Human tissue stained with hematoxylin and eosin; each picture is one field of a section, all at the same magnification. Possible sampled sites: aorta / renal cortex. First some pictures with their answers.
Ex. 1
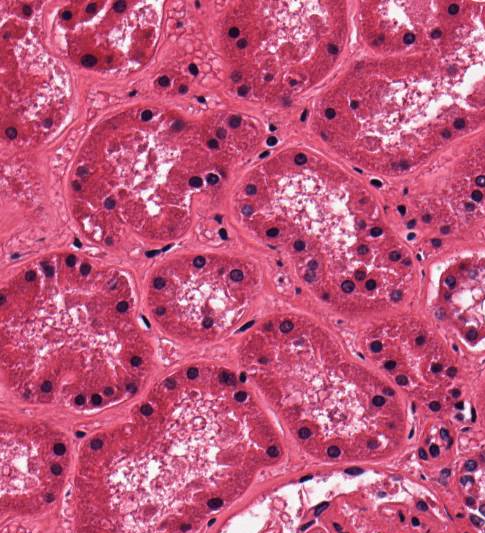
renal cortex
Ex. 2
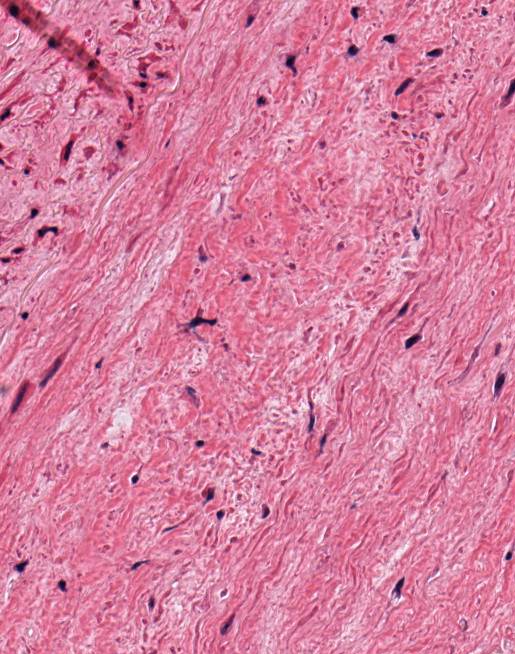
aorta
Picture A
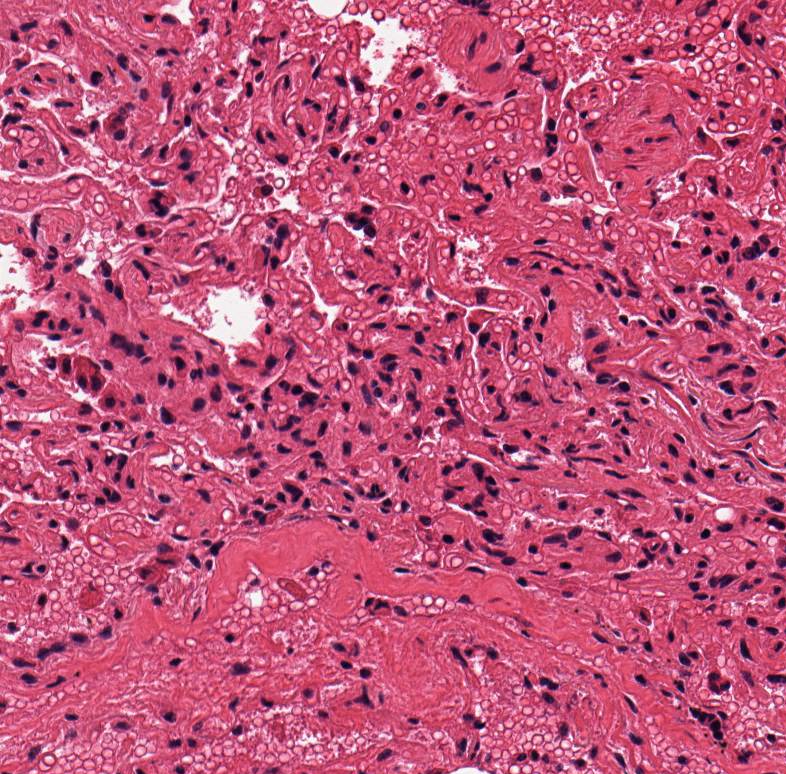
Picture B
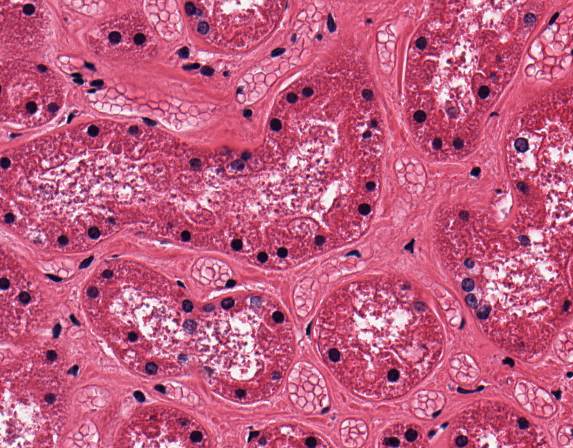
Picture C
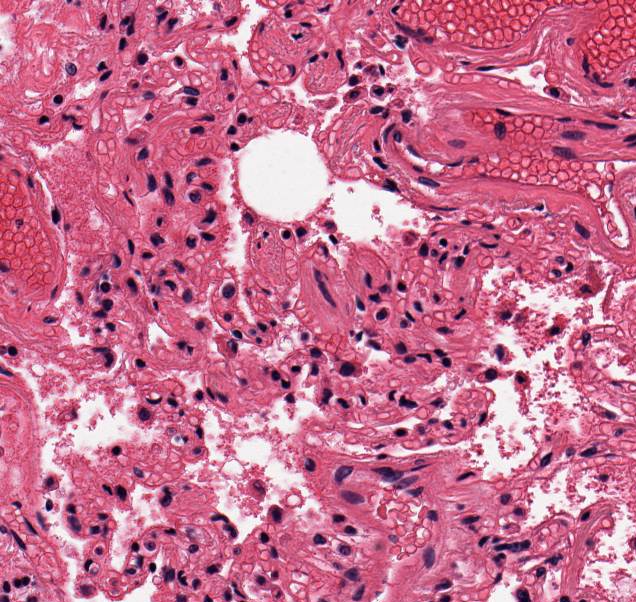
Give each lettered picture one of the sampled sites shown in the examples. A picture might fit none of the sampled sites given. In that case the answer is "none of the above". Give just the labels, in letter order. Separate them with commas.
none of the above, renal cortex, none of the above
